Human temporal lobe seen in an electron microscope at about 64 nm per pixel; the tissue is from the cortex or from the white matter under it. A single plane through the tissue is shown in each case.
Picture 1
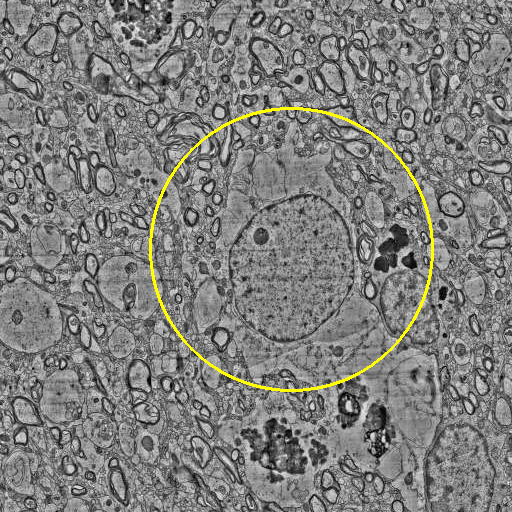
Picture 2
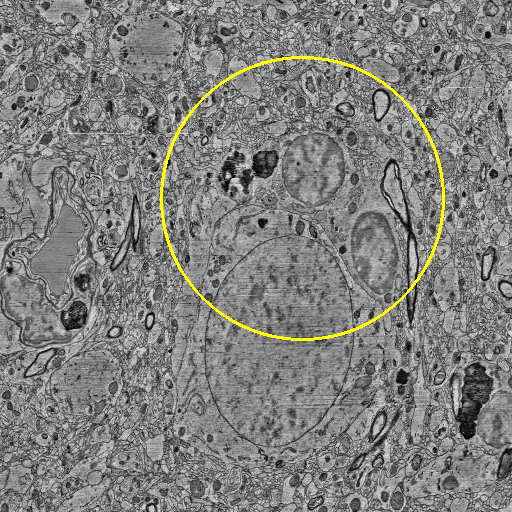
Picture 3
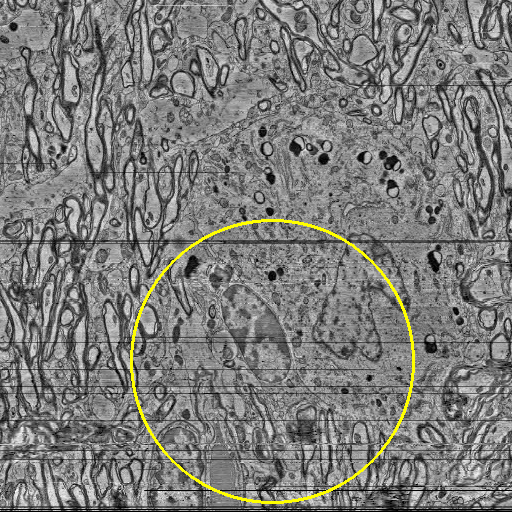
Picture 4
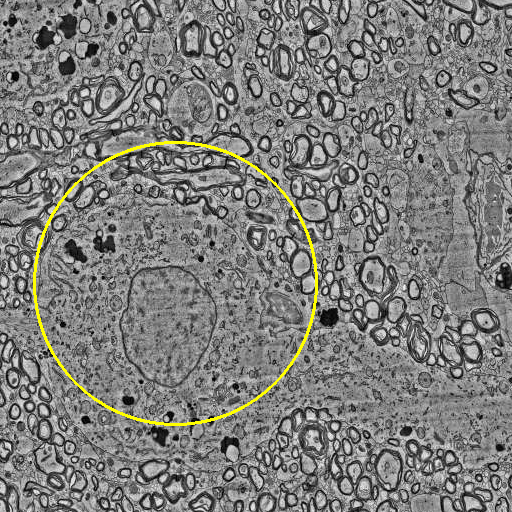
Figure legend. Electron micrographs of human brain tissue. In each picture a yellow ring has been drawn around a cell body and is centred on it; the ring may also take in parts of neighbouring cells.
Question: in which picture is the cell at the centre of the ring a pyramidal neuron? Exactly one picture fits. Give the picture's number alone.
4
